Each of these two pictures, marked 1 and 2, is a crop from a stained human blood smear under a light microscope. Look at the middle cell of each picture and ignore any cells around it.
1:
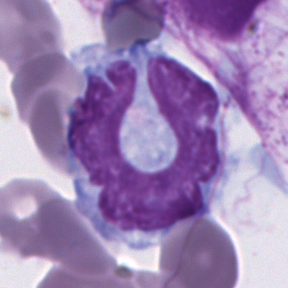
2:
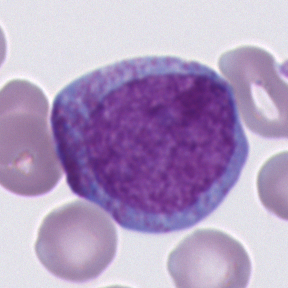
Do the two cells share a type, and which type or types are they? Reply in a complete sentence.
No, crop 1 displays a monocyte, and crop 2 displays a promyelocyte.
